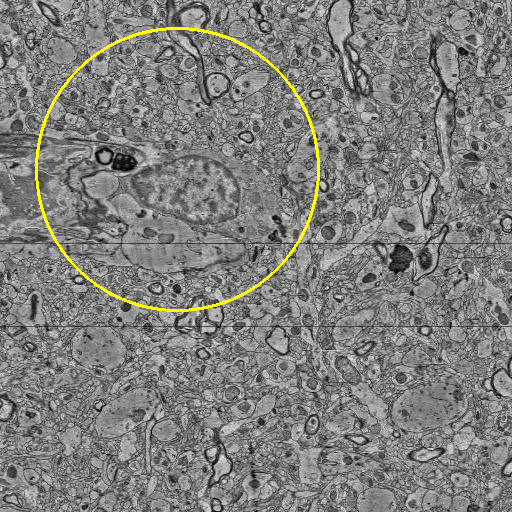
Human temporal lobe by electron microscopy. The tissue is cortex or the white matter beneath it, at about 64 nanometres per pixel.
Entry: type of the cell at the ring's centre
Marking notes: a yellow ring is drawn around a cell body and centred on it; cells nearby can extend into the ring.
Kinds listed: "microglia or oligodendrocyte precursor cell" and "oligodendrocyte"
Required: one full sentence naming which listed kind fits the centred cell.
My entry names an oligodendrocyte as the cell whose body the yellow ring centres on.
